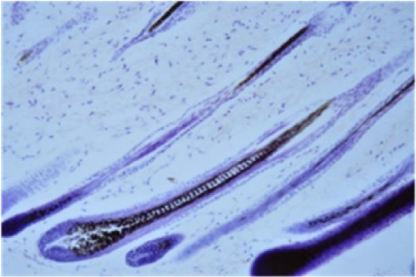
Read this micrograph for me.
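Section of skin with long hair follicles running obliquely through a pale dermis dotted with purple nuclei. The follicles extend from the upper dermis down to broad bulbs near the lower edge, where pigment is concentrated. The follicles lie close together and nearly parallel. A large, intensely purple bulb occupies the lower right corner.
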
